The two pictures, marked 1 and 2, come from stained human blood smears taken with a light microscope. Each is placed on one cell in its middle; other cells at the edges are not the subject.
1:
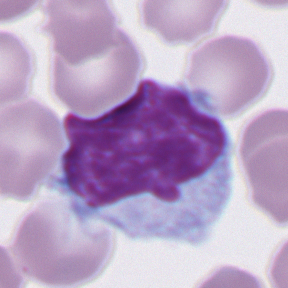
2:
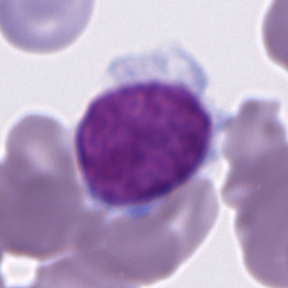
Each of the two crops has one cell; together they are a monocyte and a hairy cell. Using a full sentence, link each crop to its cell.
Crop 1 is labelled a monocyte, and crop 2 is labelled a hairy cell.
